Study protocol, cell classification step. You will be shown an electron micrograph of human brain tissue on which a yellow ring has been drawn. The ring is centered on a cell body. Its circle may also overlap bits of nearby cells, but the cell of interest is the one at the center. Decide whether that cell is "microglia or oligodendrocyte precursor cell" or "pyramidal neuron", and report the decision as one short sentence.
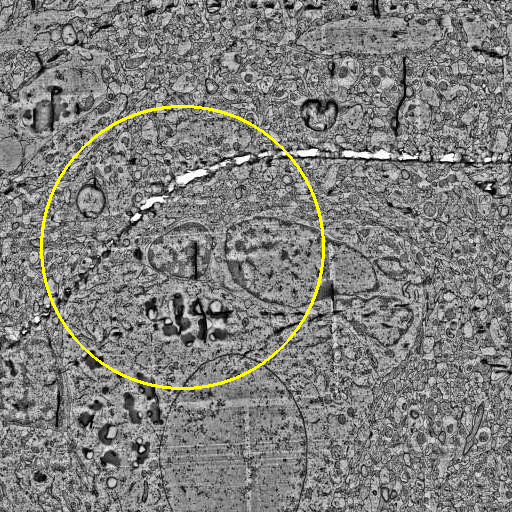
The marked cell is a microglial cell or oligodendrocyte precursor cell.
